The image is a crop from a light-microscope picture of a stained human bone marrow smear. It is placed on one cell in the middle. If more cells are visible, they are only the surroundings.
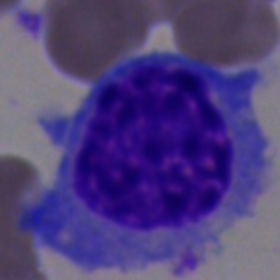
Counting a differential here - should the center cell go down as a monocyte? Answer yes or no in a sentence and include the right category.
No, the cell placed in the centre is a hairy cell and is not a monocyte.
